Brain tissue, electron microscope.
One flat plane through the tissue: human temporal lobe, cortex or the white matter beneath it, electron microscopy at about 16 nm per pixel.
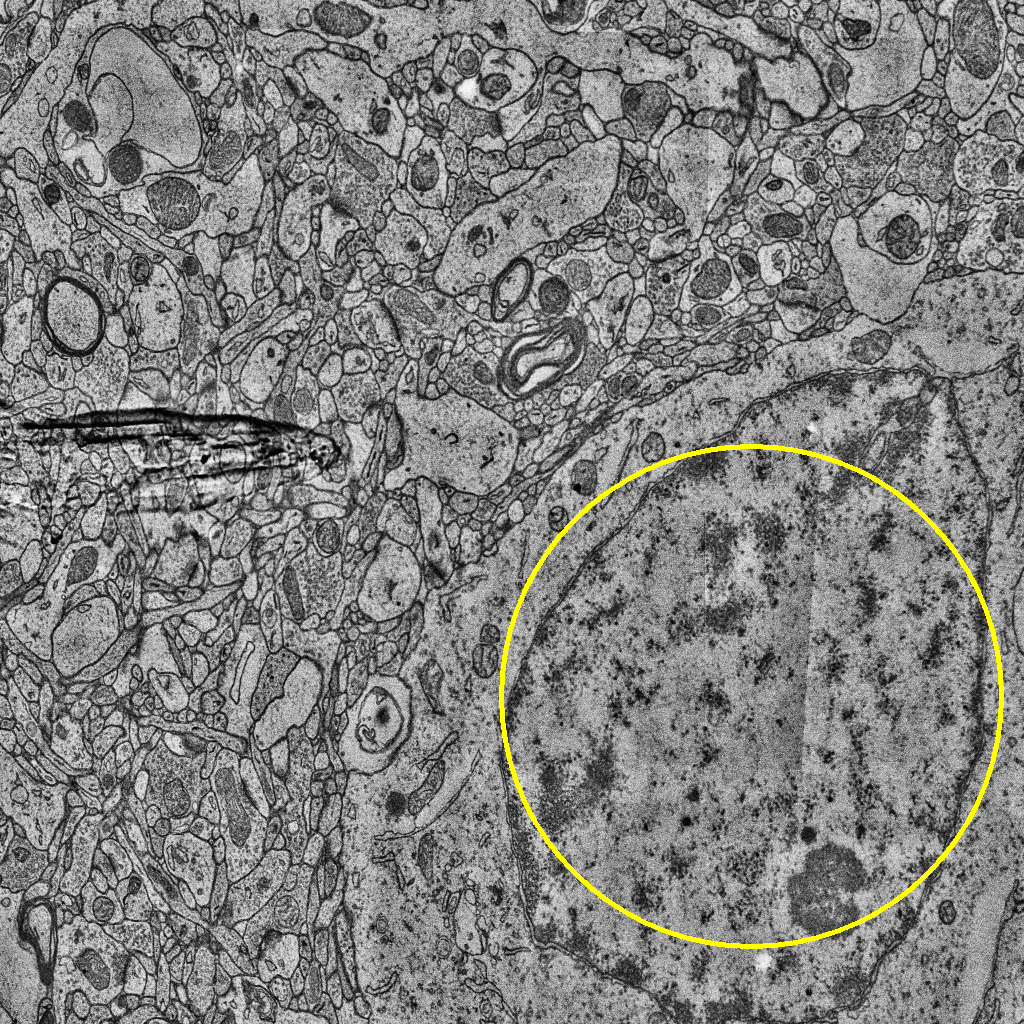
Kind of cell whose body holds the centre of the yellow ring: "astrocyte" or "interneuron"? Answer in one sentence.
The ring's centre falls on an interneuron.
